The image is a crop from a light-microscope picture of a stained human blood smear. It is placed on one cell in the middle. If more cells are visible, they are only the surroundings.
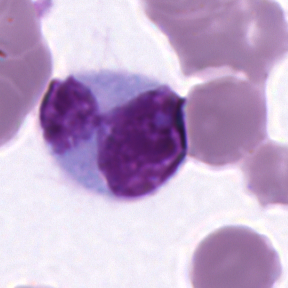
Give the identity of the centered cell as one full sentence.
In the crop, the cell of interest at the centre is a plasma cell.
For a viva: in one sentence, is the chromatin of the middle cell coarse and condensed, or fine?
Its nuclear chromatin is gathered into coarse clumps.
